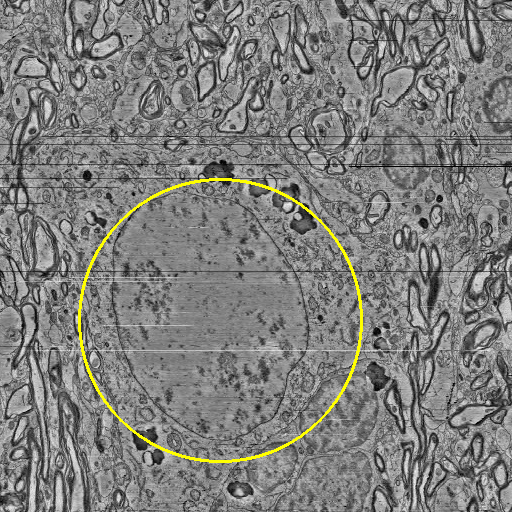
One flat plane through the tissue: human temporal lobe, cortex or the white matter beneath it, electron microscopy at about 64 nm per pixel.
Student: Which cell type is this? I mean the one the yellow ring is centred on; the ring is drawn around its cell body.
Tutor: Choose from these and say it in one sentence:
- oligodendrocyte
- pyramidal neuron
The cell the ring is centred on is a pyramidal neuron.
